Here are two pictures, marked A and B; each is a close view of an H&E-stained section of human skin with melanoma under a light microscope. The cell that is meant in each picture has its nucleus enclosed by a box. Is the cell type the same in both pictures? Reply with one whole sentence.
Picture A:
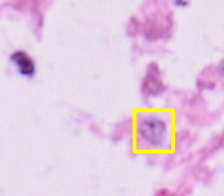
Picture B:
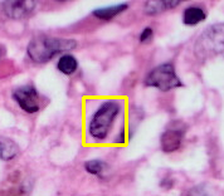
Yes, both cells are “macrophages or monocytes”.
